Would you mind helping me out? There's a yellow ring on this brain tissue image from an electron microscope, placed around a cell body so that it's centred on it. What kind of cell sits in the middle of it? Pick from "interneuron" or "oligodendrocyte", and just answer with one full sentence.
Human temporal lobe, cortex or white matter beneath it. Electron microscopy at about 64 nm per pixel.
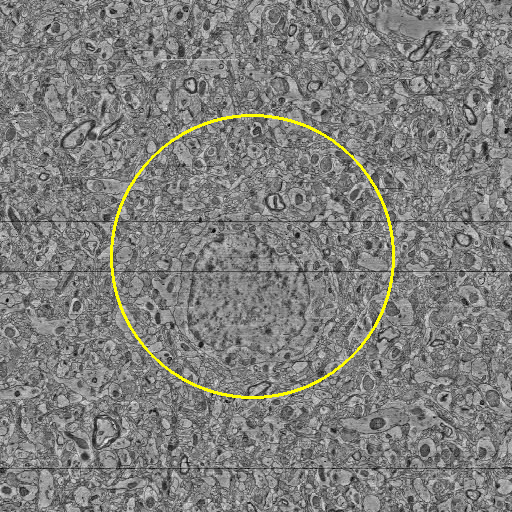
What sits in the middle of that yellow ring is an interneuron, from your choices.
